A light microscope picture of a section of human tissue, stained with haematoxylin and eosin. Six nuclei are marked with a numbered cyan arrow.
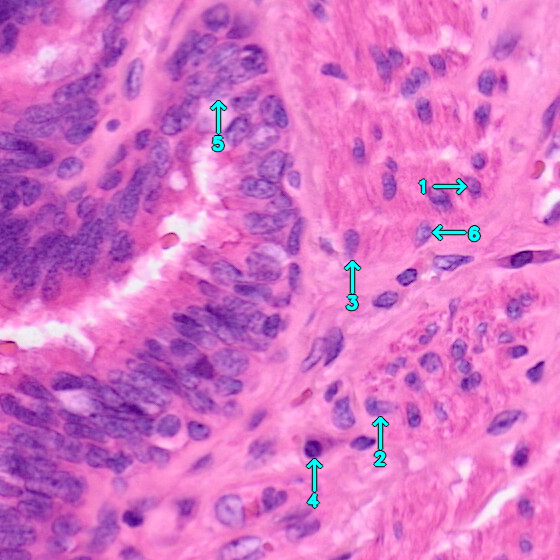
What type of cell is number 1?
smooth muscle cell or pericyte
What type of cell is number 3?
smooth muscle cell or pericyte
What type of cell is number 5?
ciliated epithelial cell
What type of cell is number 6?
smooth muscle cell or pericyte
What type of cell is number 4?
plasma cell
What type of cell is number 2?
smooth muscle cell or pericyte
